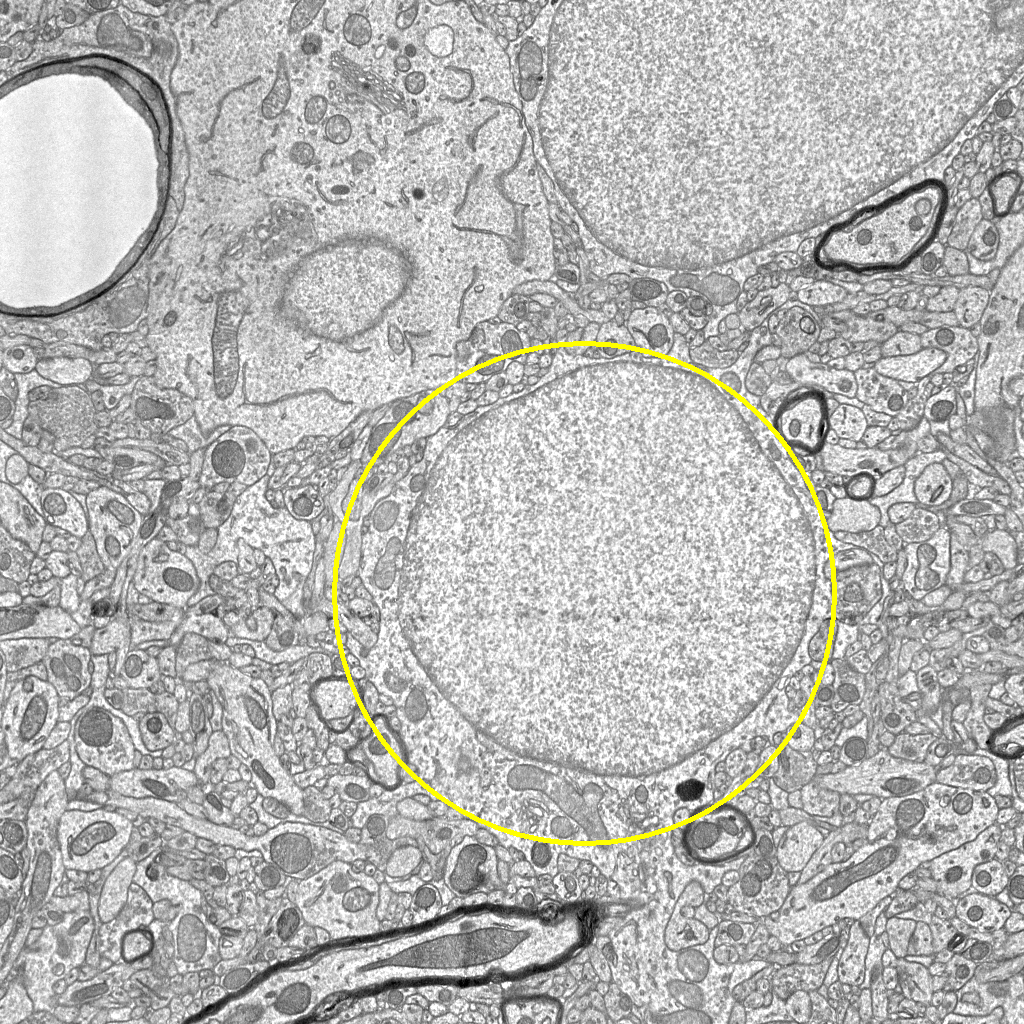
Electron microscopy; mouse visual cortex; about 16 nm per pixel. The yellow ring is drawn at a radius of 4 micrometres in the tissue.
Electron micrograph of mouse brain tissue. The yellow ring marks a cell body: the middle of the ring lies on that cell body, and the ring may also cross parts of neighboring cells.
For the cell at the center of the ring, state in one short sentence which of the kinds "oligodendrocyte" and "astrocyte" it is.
This ring's center lies on an astrocyte.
